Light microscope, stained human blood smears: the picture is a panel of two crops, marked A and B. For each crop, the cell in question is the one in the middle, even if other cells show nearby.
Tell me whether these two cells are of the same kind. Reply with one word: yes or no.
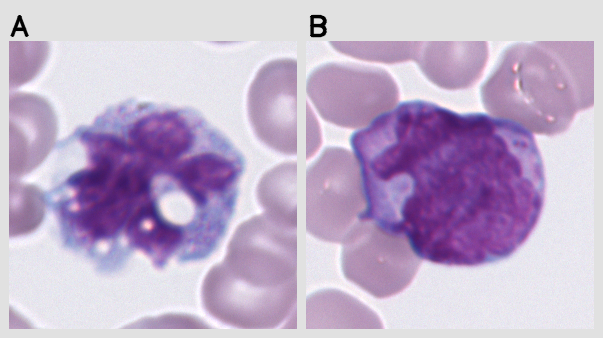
no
